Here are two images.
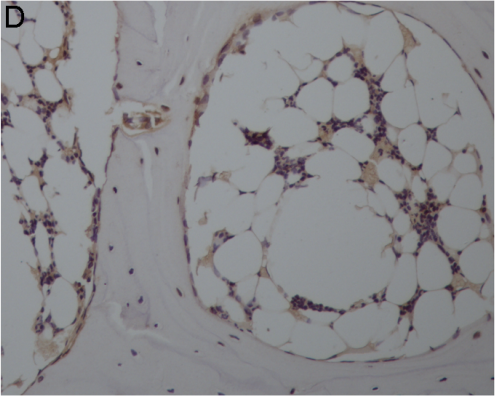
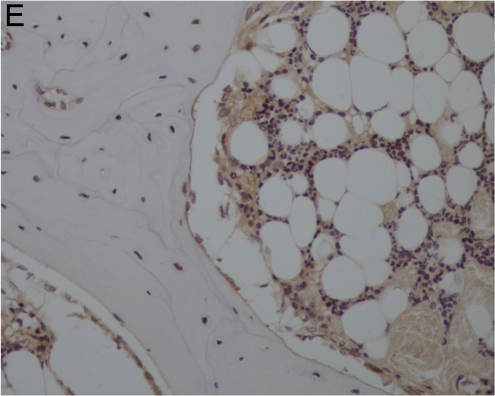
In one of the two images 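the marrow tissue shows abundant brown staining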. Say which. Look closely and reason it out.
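Second image: brown colour fills much of the space between fat vacuoles and a large brownish patch at the lower right.
Answer: the second image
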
